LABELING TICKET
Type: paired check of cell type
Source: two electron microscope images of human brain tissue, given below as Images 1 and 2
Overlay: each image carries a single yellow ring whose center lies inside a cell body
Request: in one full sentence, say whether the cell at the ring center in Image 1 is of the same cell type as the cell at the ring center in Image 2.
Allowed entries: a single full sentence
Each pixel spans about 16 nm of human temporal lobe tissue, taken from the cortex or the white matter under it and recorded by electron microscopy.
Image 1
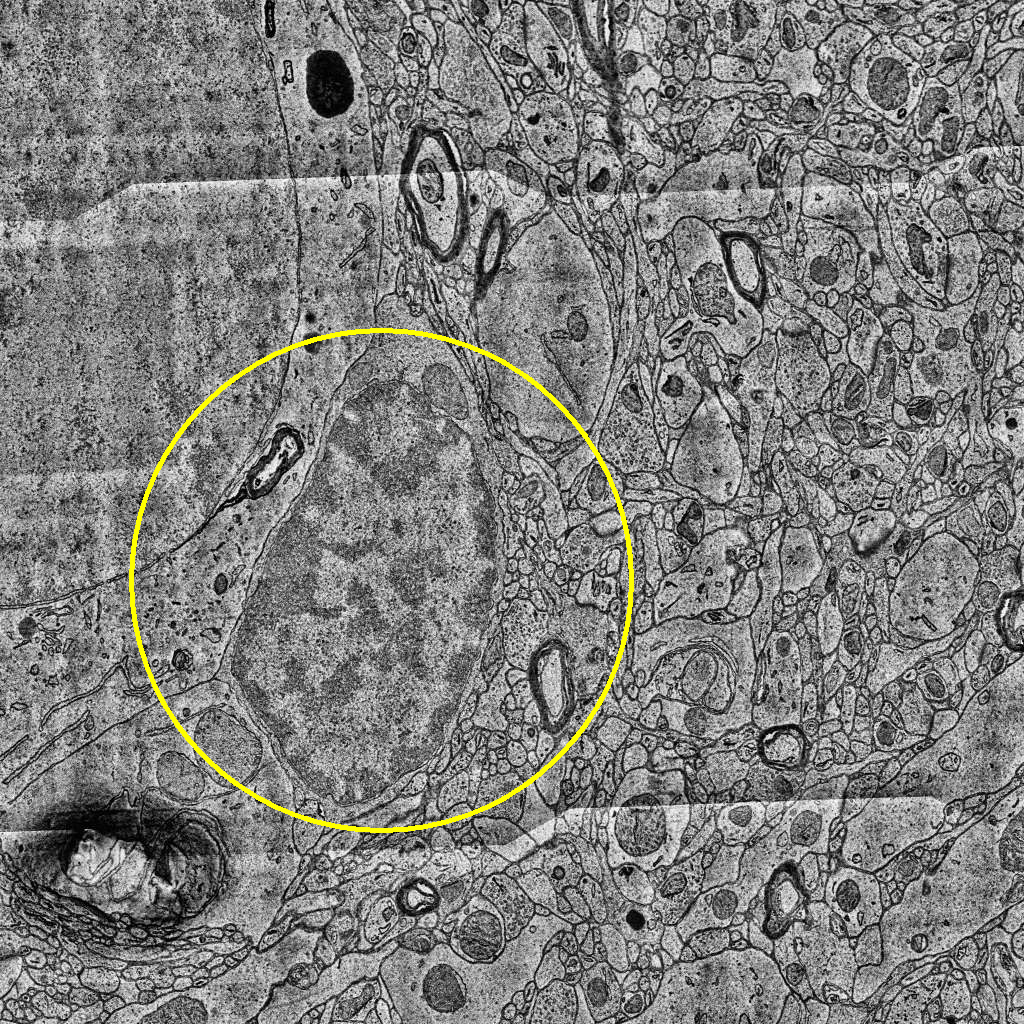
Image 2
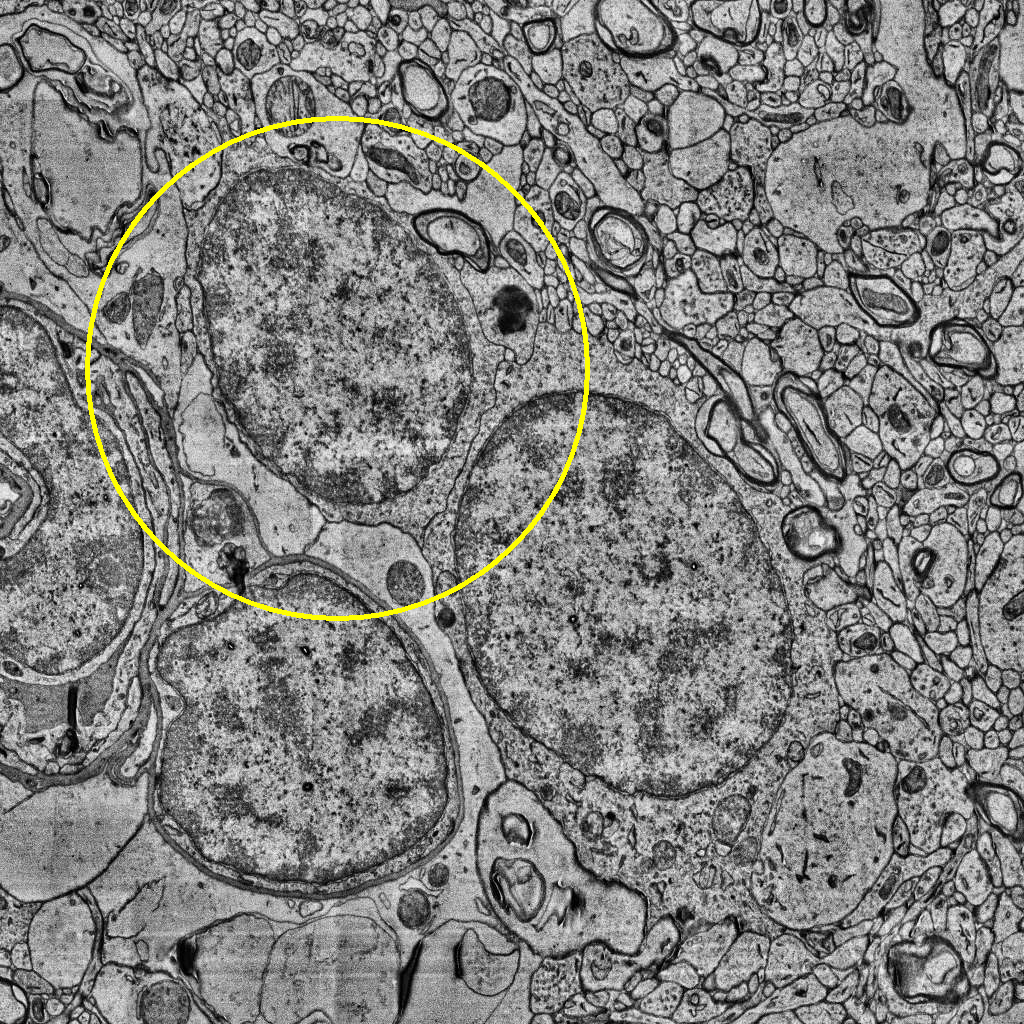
Yes, the cells at the ring centers of Image 1 and Image 2 share one type.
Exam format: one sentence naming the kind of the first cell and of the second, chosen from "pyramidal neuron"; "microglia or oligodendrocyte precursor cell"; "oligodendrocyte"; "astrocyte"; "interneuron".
The first and the second cell are each an oligodendrocyte.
